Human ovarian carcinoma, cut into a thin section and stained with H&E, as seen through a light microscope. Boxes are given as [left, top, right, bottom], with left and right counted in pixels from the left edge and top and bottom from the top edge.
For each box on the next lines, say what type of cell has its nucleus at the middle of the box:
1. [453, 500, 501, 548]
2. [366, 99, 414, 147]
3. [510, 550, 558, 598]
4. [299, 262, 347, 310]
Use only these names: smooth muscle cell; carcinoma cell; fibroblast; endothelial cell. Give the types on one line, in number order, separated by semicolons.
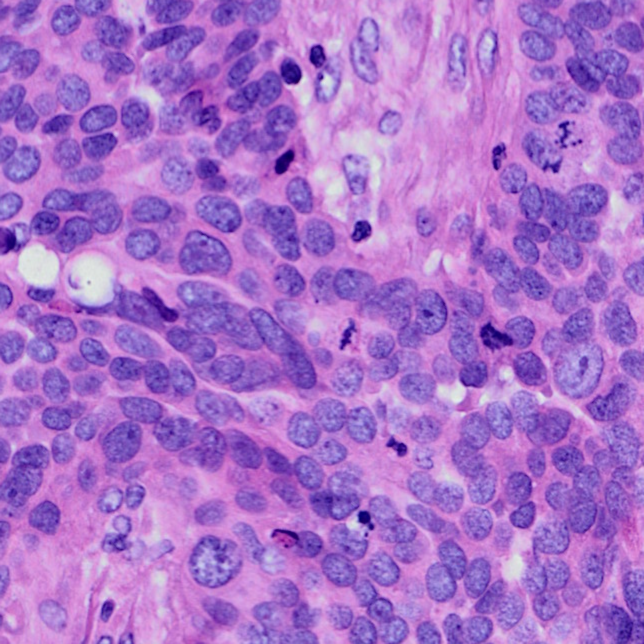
carcinoma cell; fibroblast; carcinoma cell; carcinoma cell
